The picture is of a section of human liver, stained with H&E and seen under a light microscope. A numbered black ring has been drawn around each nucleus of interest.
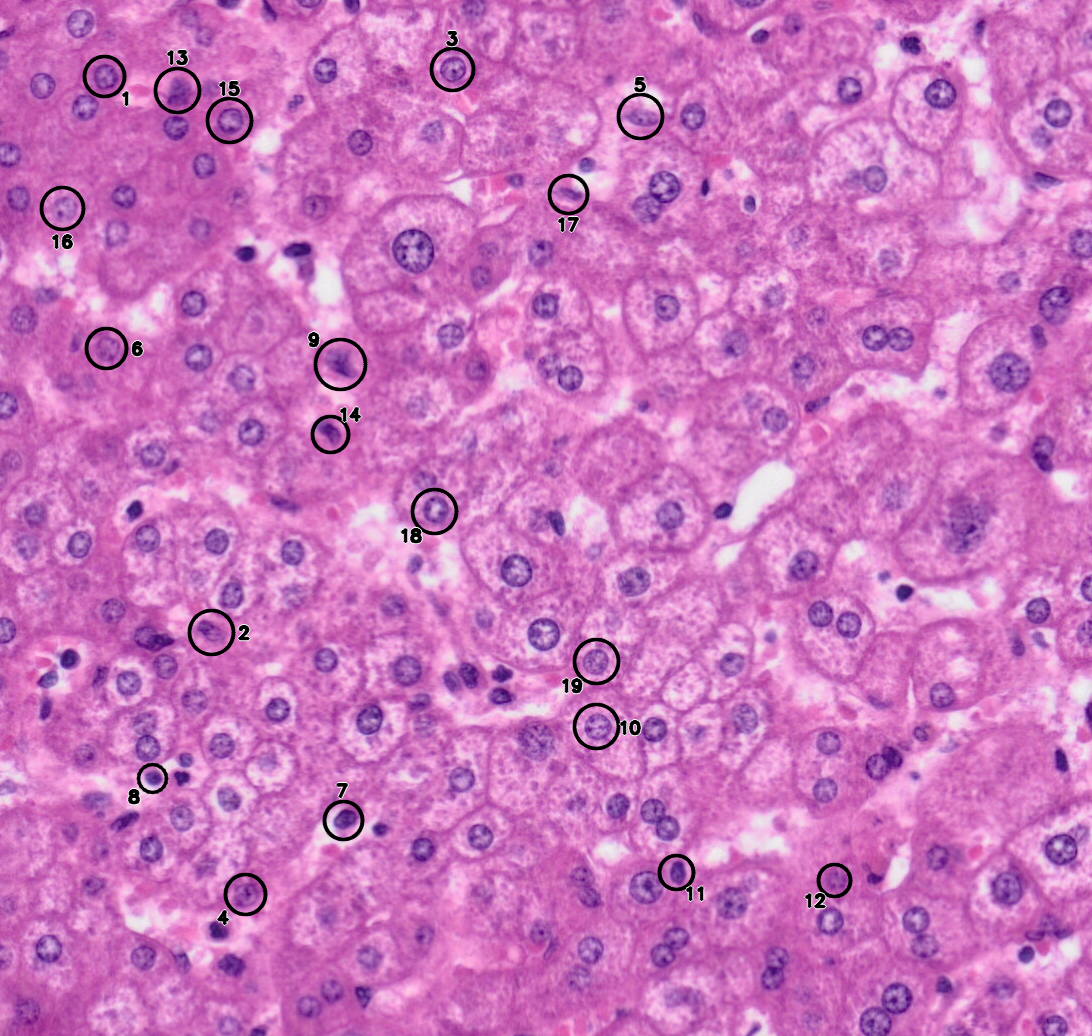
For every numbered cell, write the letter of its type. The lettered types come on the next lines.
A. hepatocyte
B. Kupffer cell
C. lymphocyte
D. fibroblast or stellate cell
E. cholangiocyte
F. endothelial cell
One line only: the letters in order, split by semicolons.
A; B; A; A; B; A; B; C; F; A; D; A; F; B; A; A; F; A; A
